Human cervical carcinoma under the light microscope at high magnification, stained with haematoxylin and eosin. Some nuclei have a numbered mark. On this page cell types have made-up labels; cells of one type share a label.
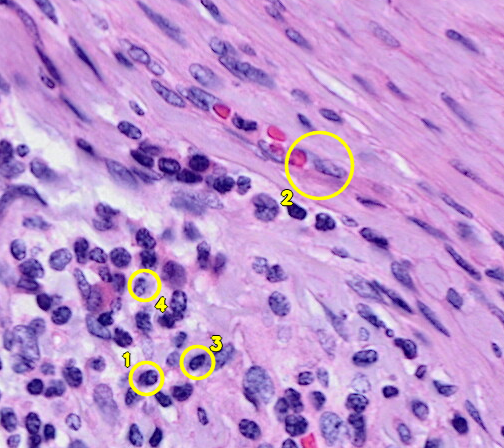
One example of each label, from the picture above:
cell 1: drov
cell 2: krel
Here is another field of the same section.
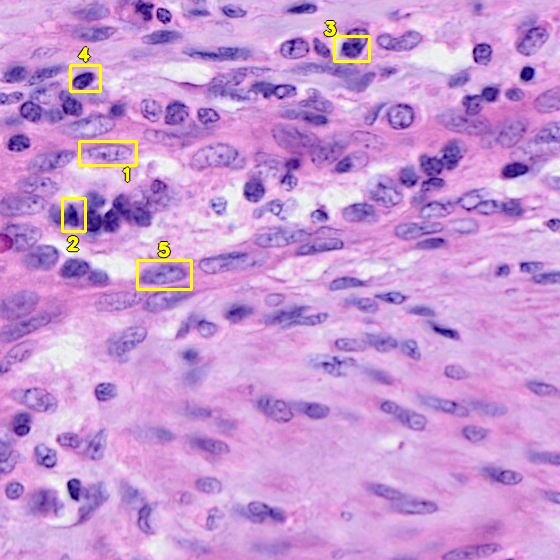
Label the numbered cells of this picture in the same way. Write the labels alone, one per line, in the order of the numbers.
krel
drov
drov
drov
krel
